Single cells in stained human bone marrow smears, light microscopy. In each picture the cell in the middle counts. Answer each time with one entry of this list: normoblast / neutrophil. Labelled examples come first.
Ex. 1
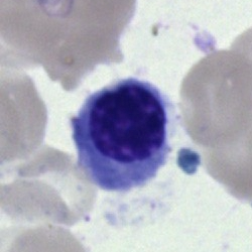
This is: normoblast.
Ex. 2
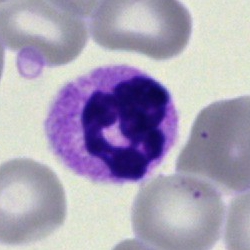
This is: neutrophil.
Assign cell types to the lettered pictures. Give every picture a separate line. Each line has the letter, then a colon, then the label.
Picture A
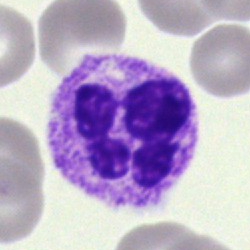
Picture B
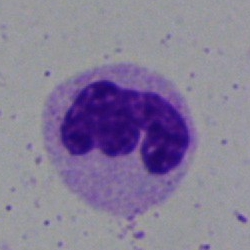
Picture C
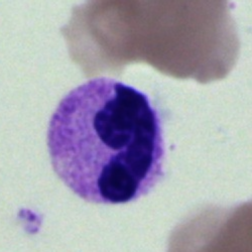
A: neutrophil.
B: neutrophil.
C: neutrophil.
